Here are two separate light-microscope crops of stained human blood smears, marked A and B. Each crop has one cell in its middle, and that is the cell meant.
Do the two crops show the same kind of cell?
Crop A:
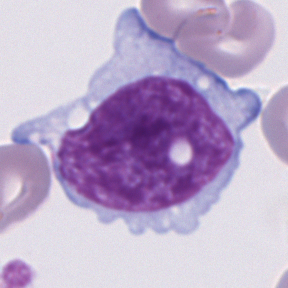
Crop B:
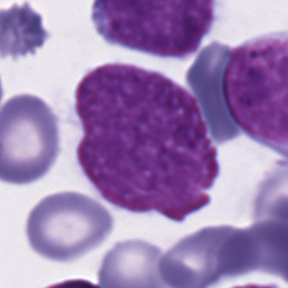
no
